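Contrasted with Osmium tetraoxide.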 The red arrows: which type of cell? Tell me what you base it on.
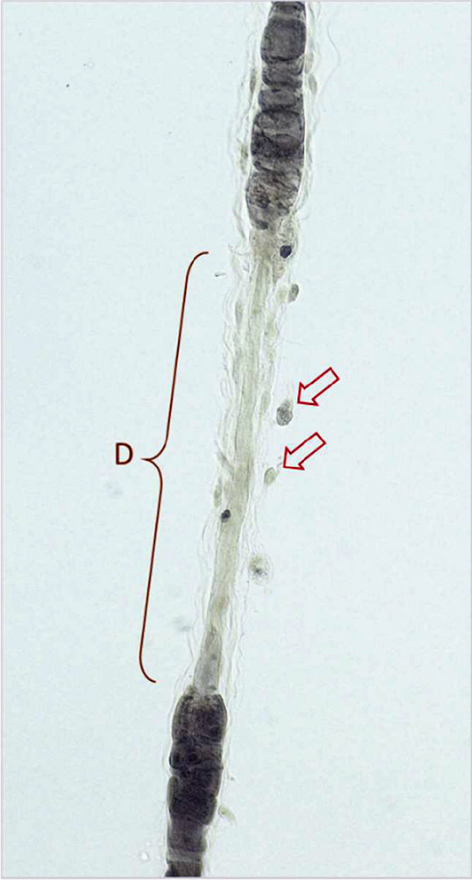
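Small round bodies lie against the side of a teased fiber. They are far smaller than the fiber's dark segments and separate from them. That points to this answer: round mononuclear cells.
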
